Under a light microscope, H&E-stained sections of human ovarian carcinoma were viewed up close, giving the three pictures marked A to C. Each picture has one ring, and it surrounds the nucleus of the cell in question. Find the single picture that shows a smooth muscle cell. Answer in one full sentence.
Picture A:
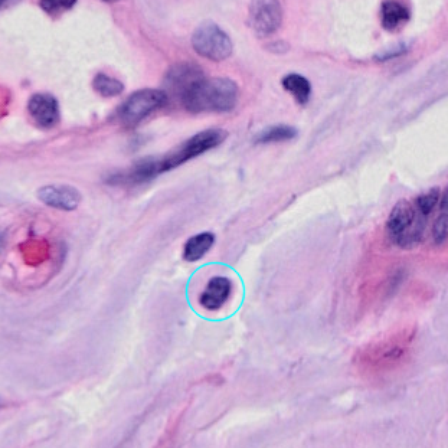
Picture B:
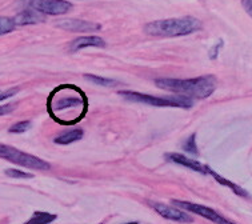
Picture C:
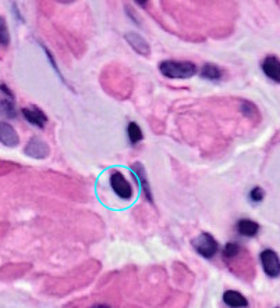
The picture with the smooth muscle cell is B.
